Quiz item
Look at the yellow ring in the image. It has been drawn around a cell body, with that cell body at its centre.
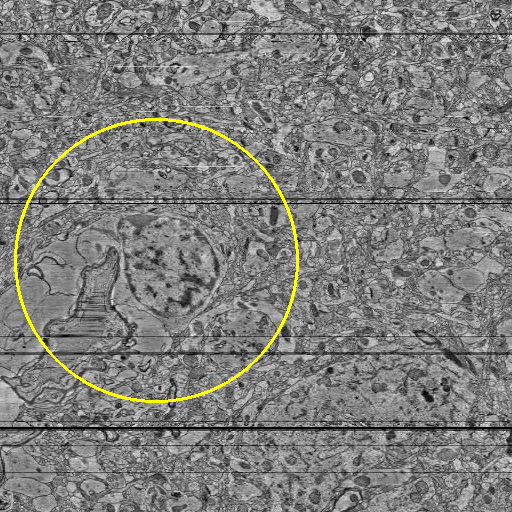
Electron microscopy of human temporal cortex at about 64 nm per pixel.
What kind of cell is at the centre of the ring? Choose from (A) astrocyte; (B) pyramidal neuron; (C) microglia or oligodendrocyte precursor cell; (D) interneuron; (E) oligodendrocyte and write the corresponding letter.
C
